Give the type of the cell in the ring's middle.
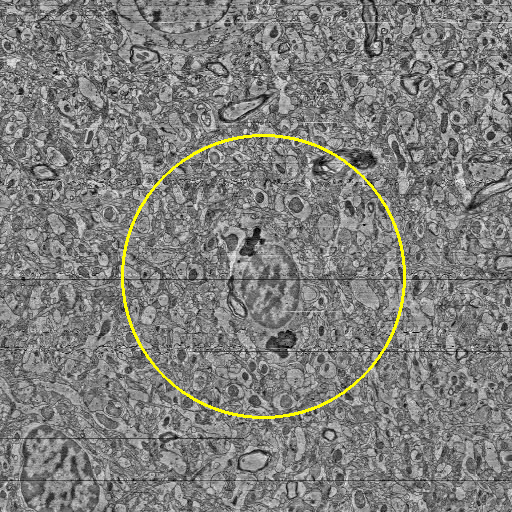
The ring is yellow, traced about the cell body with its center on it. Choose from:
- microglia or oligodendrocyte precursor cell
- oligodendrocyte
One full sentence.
Here, an oligodendrocyte is the cell lying at the center of the yellow ring.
